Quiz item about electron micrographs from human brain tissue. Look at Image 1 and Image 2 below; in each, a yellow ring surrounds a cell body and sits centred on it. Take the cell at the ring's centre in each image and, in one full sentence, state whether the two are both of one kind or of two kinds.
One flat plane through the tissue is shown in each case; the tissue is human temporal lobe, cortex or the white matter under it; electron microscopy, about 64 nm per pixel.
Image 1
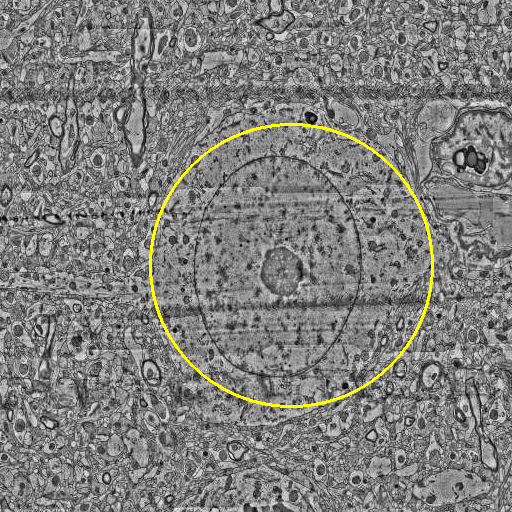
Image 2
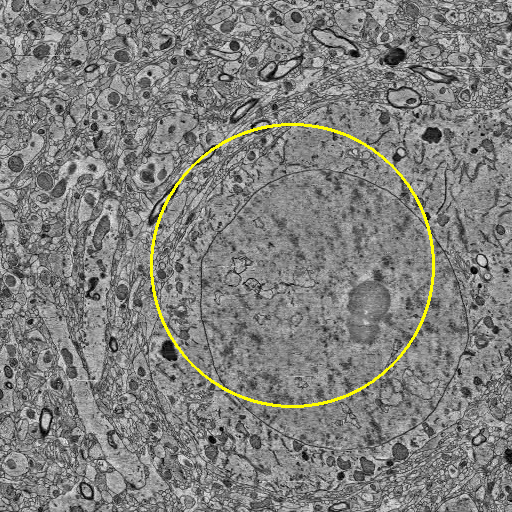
In Image 1 and Image 2, the cells at the ring centres are both of one kind.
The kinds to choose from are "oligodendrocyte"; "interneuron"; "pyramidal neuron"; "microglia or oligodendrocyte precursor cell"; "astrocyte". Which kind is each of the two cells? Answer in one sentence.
Each one of the two ringed cells is a pyramidal neuron.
